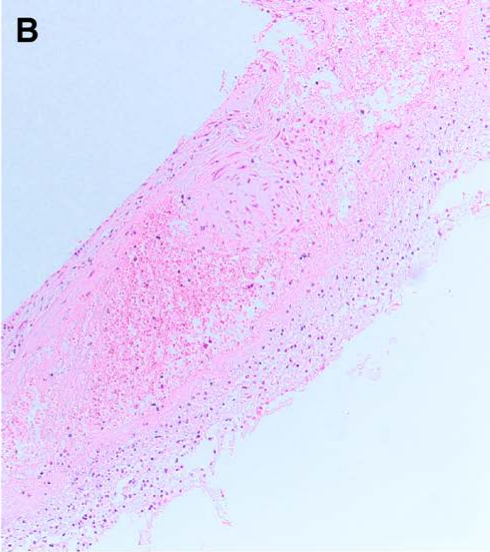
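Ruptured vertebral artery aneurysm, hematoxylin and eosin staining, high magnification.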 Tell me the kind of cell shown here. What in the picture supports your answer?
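A central band of pink, finely granular material lies within the tissue strip.
Hence: Erythrocytes.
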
